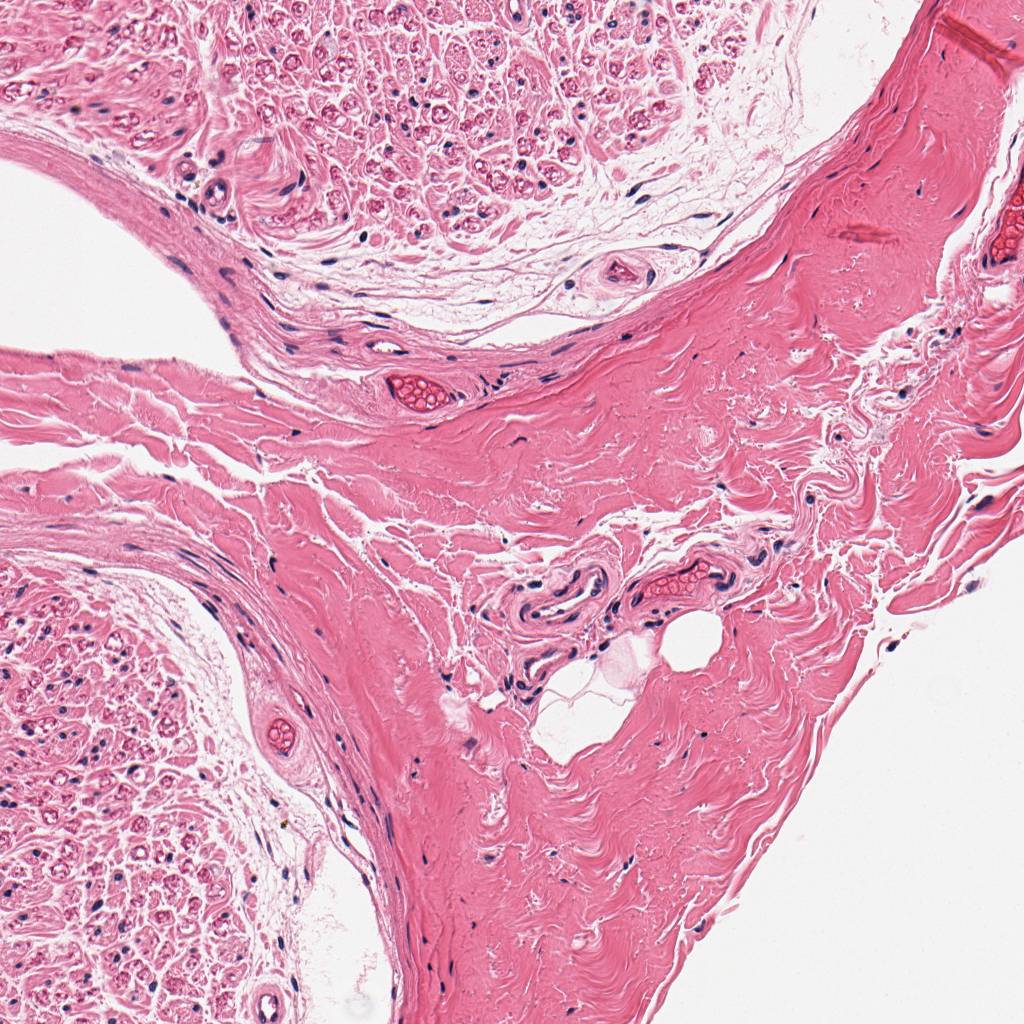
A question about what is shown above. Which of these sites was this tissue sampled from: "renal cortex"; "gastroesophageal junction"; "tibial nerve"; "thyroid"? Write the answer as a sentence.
The site this tissue was sampled from is the tibial nerve.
